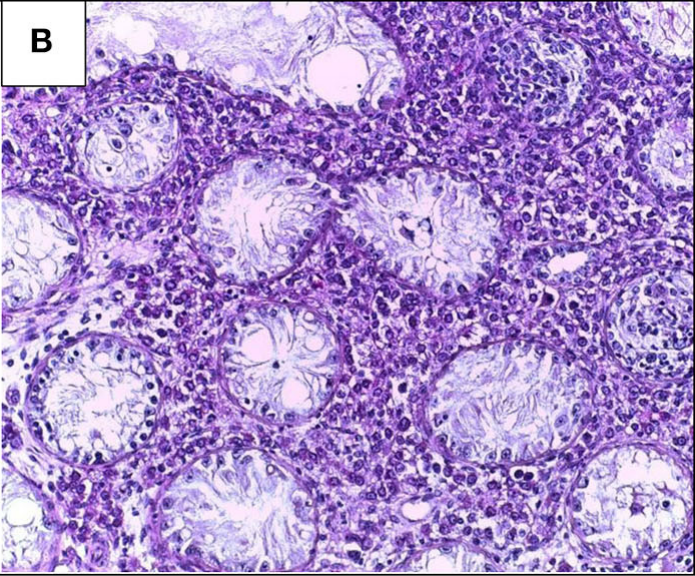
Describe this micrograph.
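Seminiferous tubules of testis with damage: tubules are small and round, holding only a thin peripheral rim of cells with pale, foamy, vacuolated cytoplasm filling the interior; layered germ cells are absent. Few scattered nuclei and wispy material lie within the lumina. Tubule walls stand out as purple-pink rims. The interstitium between tubules is broad and crowded with many small cells bearing round dark nuclei, immune cells infiltrating around every tubule. At the top, pale, loose areas with clear spaces replace tissue structure.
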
